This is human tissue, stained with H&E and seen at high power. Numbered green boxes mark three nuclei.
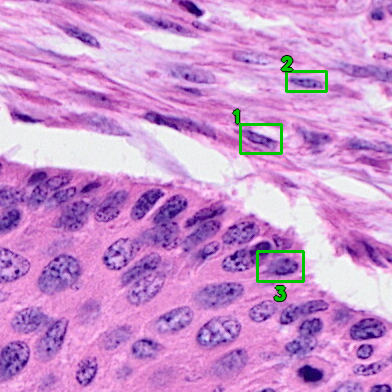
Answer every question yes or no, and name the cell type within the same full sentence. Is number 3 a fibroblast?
No, the cell marked 3 is a squamous carcinoma cell rather than a fibroblast.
